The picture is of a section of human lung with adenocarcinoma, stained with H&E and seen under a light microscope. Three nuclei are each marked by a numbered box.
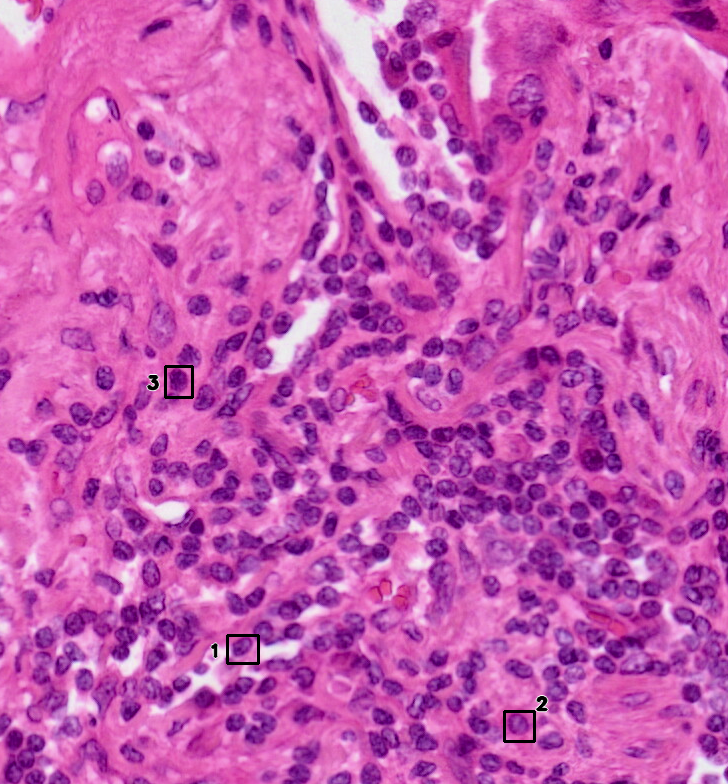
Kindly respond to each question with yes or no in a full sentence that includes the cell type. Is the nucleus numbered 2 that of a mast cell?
Yes, cell number 2 is identified here as a mast cell.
